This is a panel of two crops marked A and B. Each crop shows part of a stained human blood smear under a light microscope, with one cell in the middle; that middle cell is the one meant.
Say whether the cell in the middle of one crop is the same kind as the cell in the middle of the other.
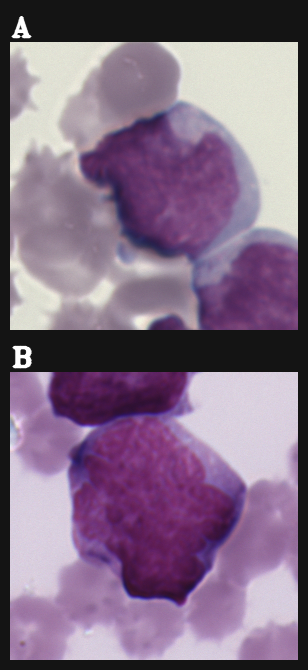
yes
